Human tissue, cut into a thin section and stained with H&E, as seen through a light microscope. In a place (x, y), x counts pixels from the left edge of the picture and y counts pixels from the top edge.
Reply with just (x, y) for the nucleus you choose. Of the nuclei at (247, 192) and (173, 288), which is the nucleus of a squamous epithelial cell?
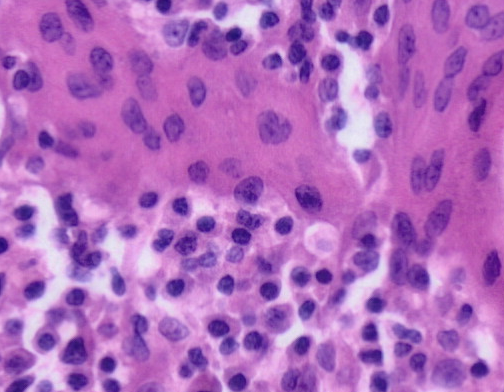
(247, 192)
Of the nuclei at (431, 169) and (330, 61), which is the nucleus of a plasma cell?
(330, 61)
